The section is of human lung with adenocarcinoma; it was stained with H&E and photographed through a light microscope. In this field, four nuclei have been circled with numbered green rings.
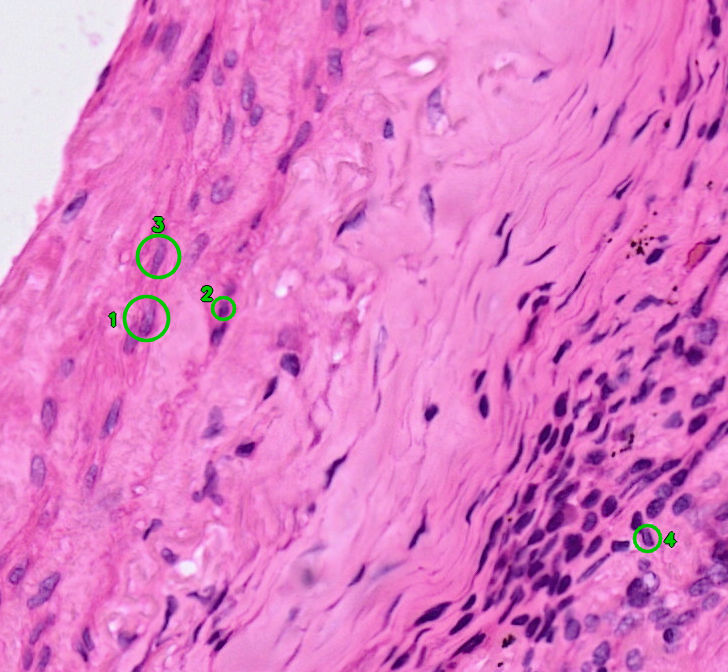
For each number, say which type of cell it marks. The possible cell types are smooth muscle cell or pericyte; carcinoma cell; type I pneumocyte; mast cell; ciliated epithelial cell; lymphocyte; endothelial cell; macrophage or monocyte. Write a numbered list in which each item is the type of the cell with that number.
1. smooth muscle cell or pericyte
2. smooth muscle cell or pericyte
3. smooth muscle cell or pericyte
4. lymphocyte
